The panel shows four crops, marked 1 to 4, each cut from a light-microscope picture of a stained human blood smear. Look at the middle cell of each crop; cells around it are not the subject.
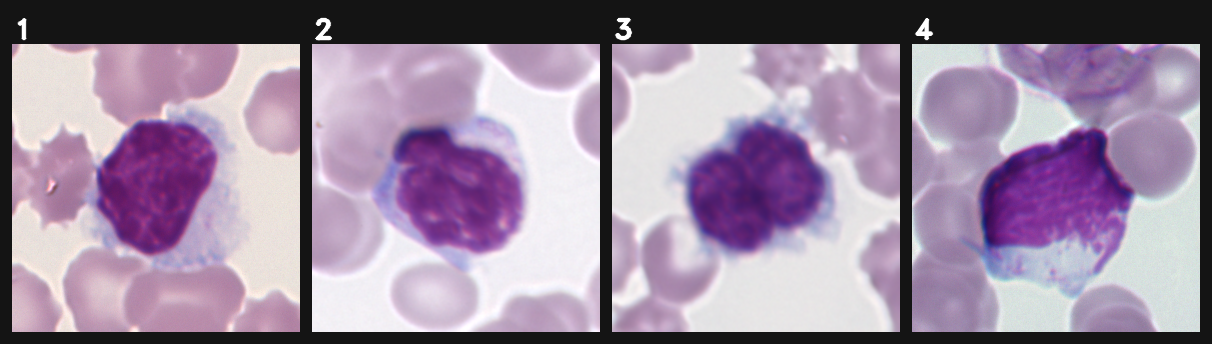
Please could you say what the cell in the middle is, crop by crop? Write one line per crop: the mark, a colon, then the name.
1: hairy cell
2: large granular lymphocyte
3: hairy cell
4: large granular lymphocyte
